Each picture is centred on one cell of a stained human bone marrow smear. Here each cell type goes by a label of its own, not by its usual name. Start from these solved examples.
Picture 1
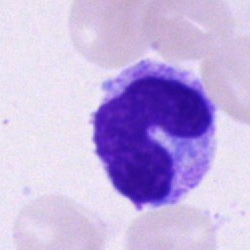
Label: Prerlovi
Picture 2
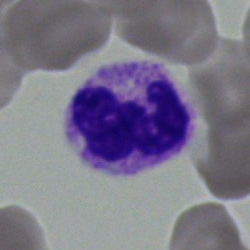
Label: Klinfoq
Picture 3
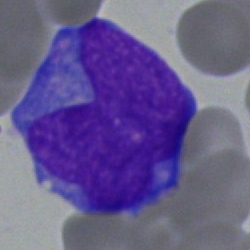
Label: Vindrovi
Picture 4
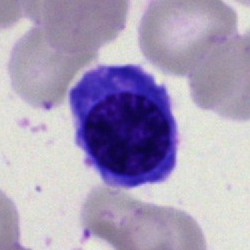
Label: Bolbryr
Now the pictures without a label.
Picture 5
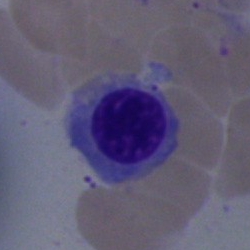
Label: Bolbryr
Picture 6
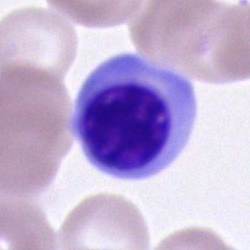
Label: Bolbryr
